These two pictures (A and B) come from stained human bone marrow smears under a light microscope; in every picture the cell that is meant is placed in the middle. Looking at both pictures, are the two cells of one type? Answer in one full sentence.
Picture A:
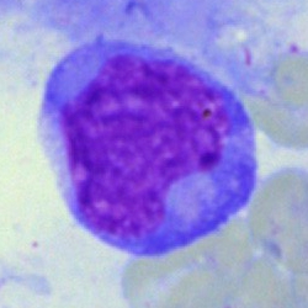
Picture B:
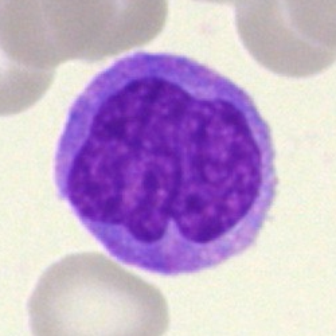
Yes, they are the same type: both are monocytes.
